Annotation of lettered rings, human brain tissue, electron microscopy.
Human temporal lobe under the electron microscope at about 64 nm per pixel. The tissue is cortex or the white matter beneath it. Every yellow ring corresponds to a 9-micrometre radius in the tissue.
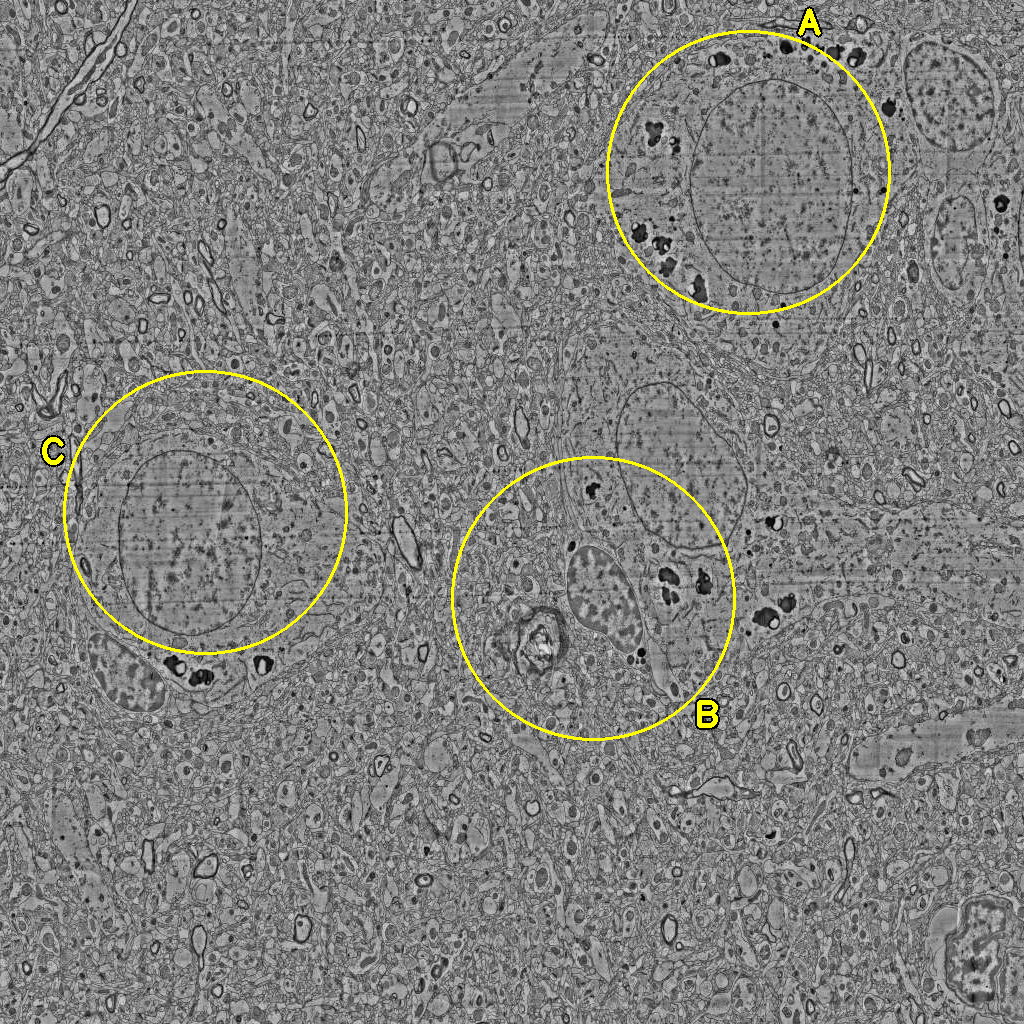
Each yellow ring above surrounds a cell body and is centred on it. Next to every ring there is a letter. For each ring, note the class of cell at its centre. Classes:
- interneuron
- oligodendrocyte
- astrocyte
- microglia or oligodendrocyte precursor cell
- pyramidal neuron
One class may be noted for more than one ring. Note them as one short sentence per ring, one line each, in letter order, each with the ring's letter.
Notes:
The class noted at ring A is a pyramidal neuron.
The class noted at ring B is a microglial cell or oligodendrocyte precursor cell.
The class noted at ring C is a pyramidal neuron.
